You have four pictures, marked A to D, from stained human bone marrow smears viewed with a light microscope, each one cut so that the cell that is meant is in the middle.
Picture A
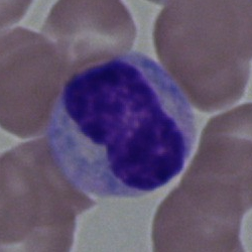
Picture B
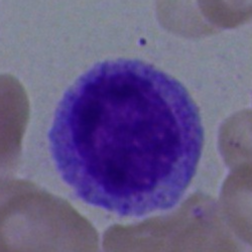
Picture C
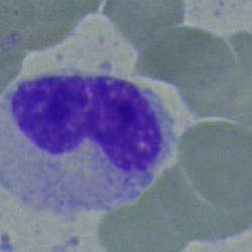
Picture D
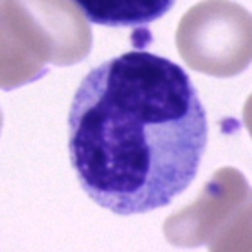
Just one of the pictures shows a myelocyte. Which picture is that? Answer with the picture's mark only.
B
